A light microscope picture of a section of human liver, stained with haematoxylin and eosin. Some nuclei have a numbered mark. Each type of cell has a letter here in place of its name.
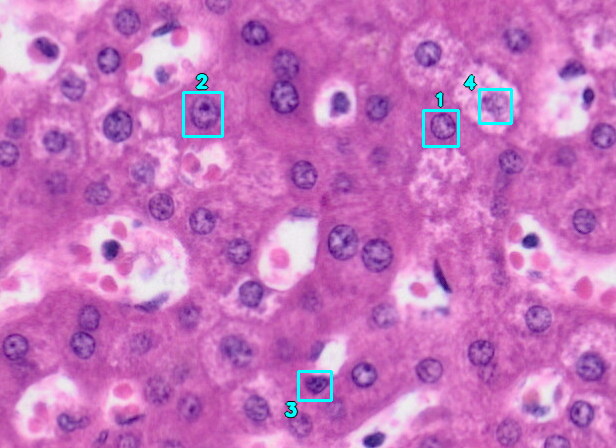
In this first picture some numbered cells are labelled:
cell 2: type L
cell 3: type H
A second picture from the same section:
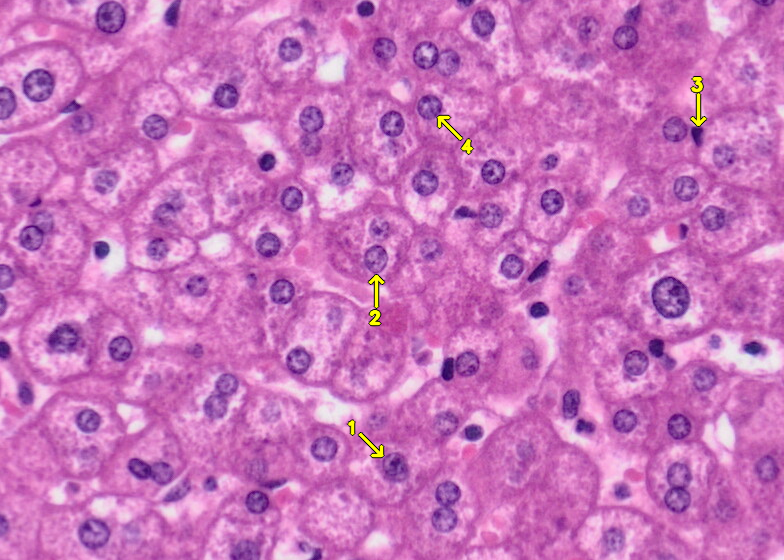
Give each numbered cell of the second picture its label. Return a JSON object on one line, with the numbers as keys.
{"1": "type L", "2": "type L", "3": "type H", "4": "type L"}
